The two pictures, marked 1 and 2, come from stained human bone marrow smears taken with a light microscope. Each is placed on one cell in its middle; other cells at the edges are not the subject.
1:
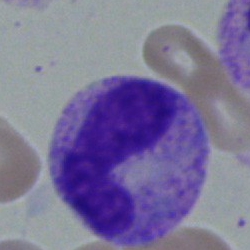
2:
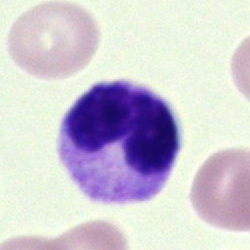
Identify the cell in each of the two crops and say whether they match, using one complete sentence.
Yes, both crops show band neutrophils, the one and the other.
